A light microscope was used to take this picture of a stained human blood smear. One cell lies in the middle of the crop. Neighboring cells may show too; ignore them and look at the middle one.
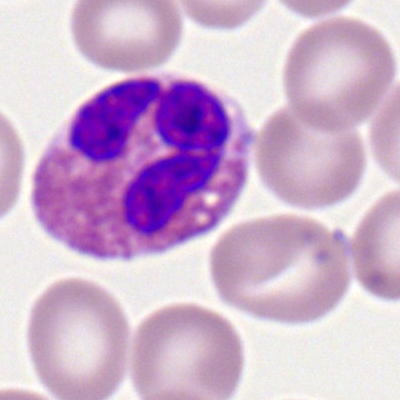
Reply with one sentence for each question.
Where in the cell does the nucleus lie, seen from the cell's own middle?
Toward the upper right of the cell lies its nucleus.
